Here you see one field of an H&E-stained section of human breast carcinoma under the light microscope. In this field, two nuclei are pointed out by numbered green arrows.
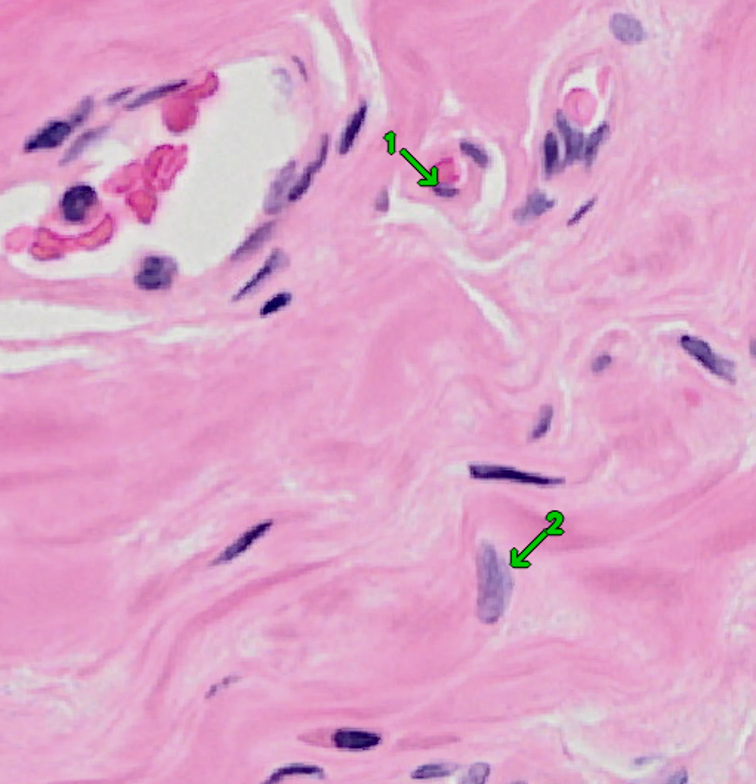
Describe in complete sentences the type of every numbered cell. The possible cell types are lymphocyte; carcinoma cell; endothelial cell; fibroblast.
Cell 1 is an endothelial cell. Cell 2 is a fibroblast.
